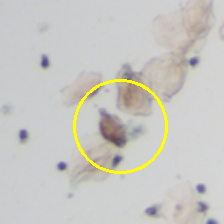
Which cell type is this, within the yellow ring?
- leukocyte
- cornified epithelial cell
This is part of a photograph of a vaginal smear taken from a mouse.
Within the ring is a cornified epithelial cell.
